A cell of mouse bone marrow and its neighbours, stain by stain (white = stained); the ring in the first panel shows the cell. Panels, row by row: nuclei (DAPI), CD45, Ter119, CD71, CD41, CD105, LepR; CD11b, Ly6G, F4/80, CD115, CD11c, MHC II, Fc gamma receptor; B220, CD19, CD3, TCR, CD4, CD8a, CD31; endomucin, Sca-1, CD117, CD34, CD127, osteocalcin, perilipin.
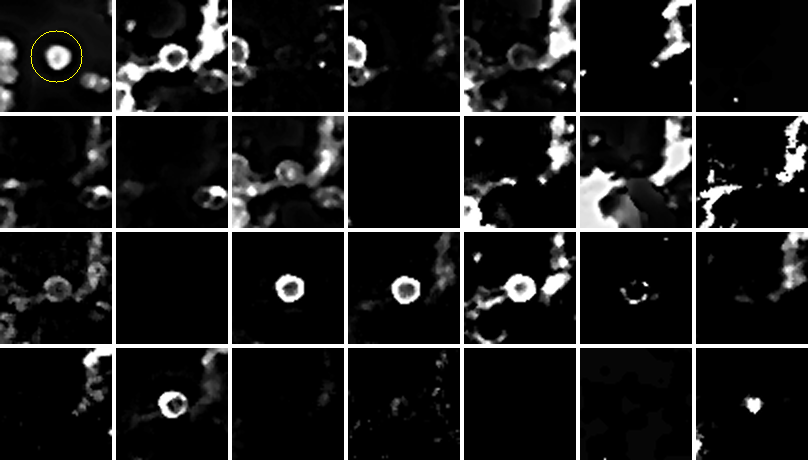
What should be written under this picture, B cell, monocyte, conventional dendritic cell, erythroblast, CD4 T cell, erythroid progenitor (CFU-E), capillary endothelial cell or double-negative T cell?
CD4 T cell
